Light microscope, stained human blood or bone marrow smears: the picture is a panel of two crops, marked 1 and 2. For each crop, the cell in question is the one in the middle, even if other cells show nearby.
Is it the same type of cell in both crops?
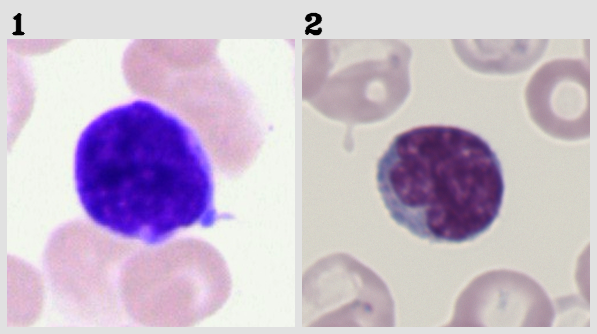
yes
